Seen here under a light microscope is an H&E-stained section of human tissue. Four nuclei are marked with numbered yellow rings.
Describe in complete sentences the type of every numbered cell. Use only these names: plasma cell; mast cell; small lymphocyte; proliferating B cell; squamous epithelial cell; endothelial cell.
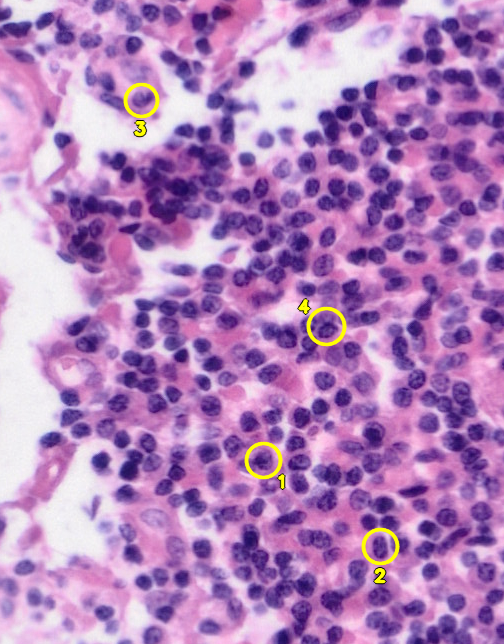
Cells 1, 2 and 4 are plasma cells. Cell 3 is an endothelial cell.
